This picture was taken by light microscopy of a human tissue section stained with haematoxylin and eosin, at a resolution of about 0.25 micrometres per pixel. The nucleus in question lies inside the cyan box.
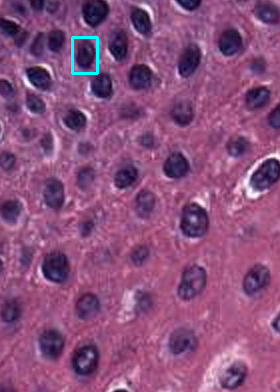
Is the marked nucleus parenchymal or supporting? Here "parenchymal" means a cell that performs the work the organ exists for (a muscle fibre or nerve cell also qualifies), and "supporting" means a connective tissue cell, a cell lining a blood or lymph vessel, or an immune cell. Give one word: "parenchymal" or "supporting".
parenchymal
